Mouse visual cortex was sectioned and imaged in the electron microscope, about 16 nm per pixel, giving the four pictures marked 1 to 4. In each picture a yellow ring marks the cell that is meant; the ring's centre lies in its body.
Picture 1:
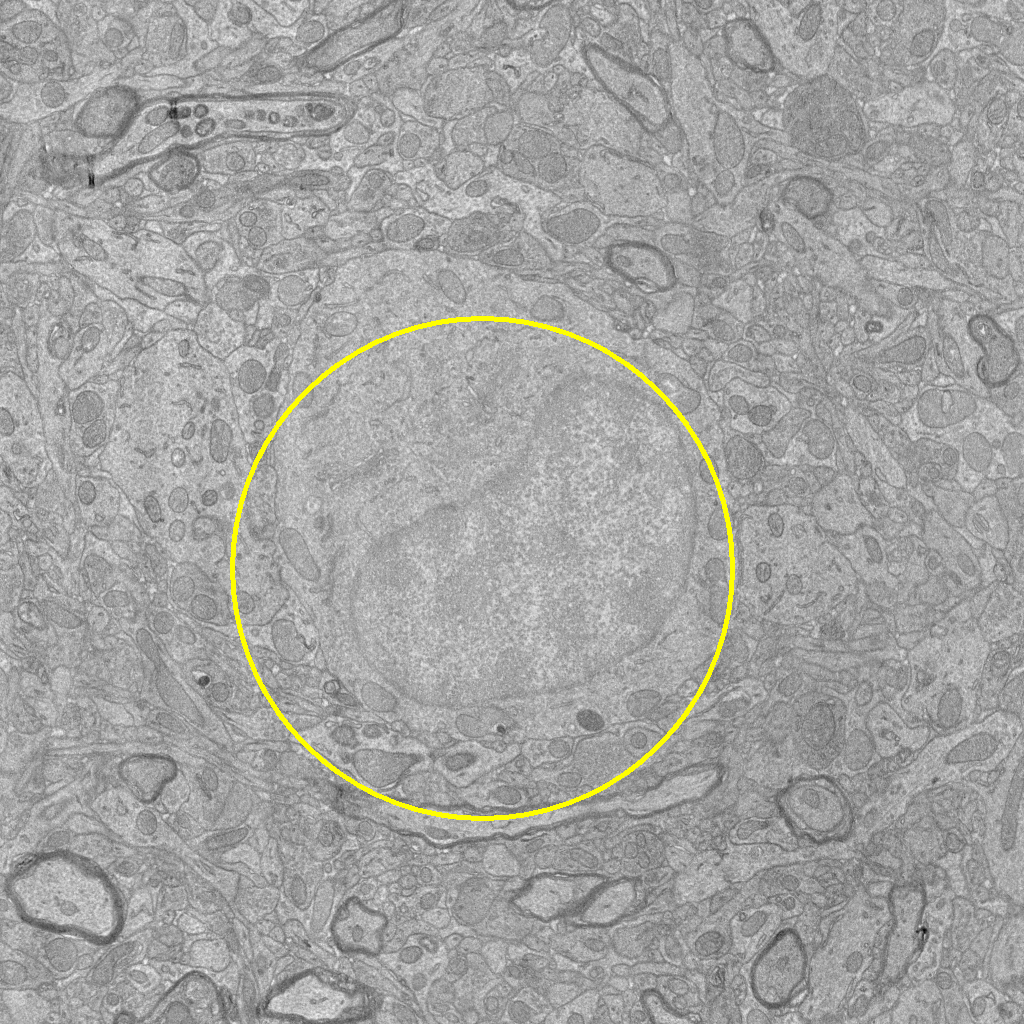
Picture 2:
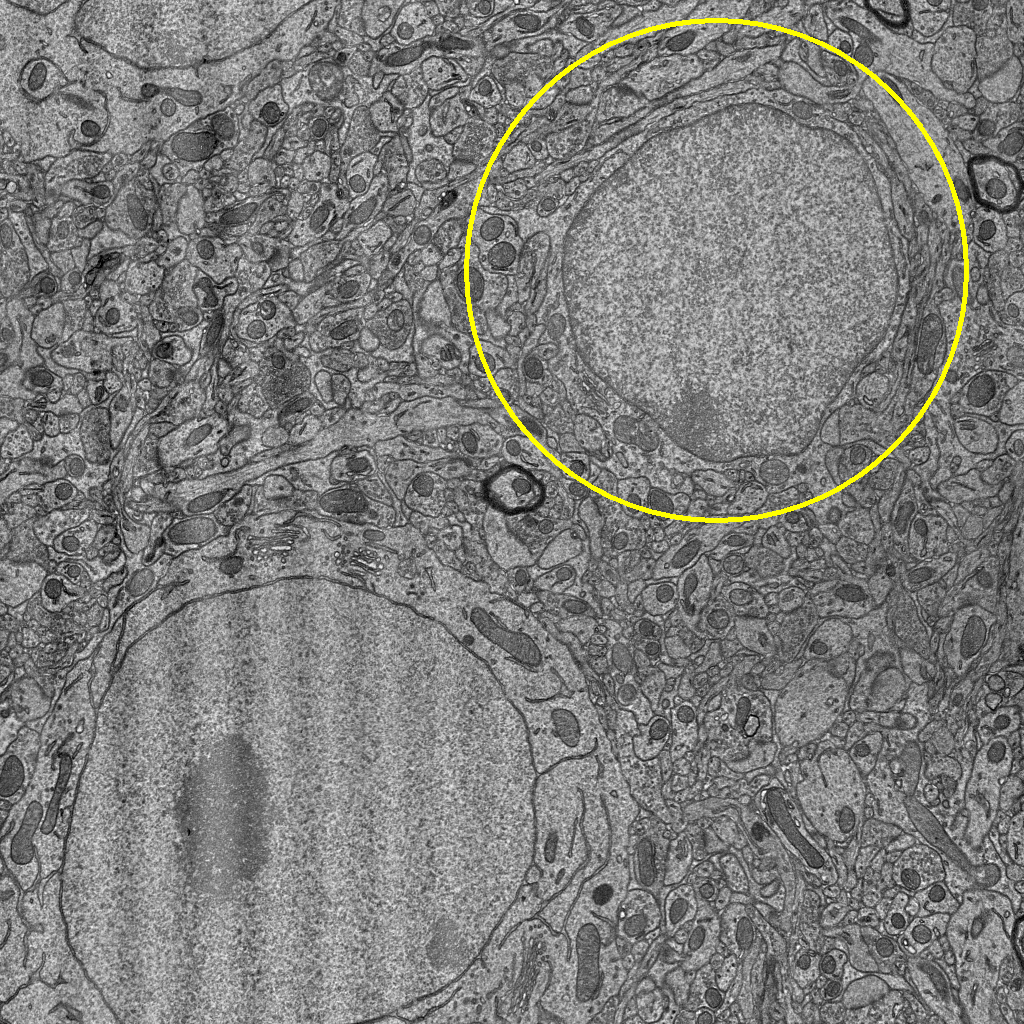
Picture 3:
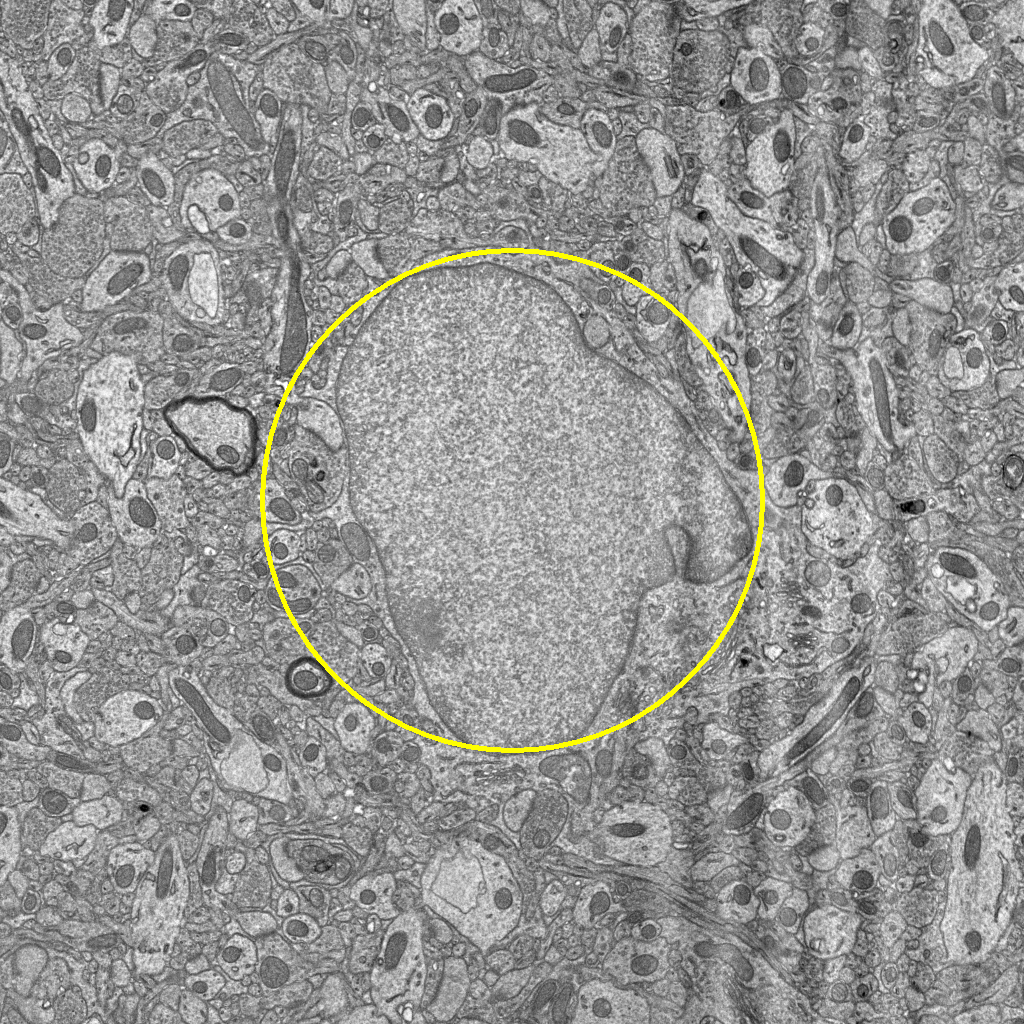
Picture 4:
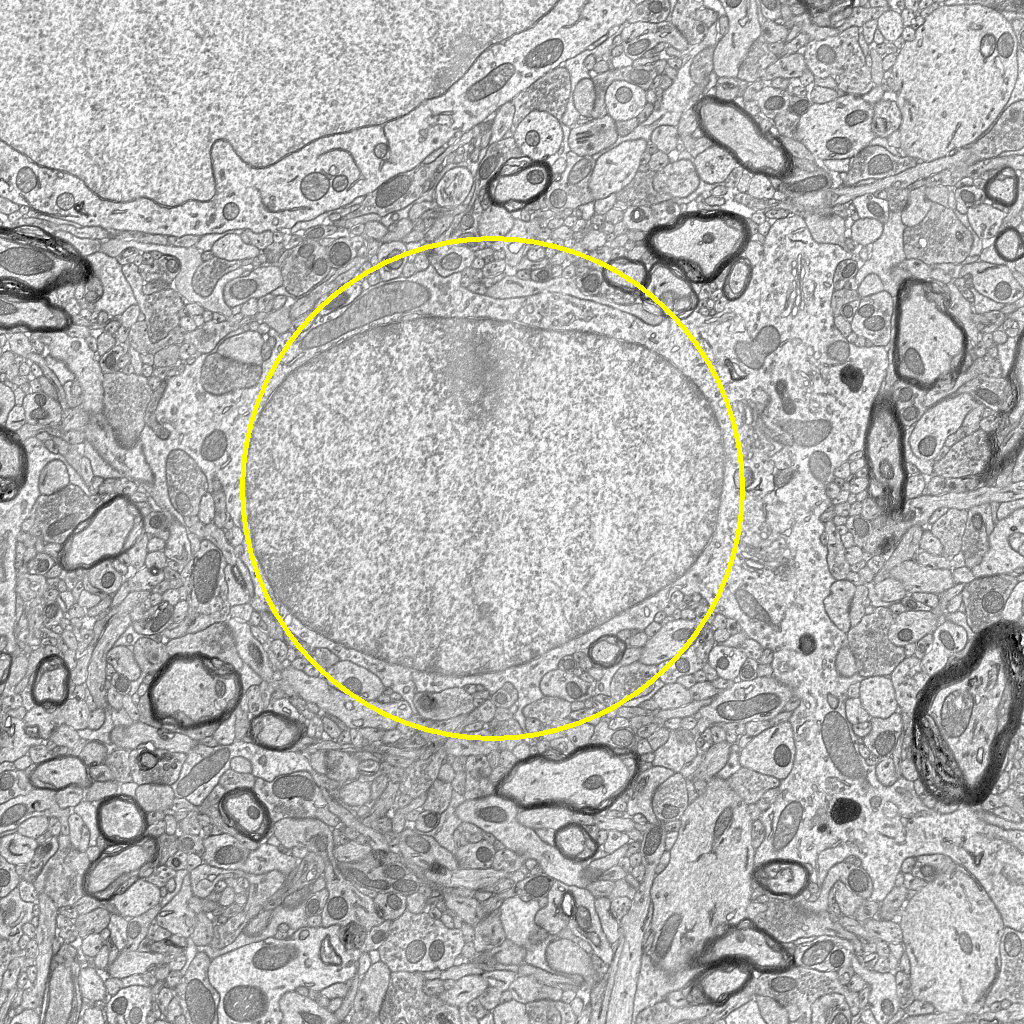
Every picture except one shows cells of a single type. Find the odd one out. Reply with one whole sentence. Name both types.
Unlike the rest, which show astrocytes, picture 1 shows an oligodendrocyte.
